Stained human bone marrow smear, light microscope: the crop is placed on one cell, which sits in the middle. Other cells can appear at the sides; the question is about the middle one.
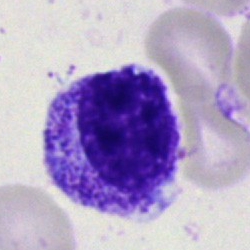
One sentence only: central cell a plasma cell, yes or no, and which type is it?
No, the centre of the crop is taken up by a myelocyte, not a plasma cell.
